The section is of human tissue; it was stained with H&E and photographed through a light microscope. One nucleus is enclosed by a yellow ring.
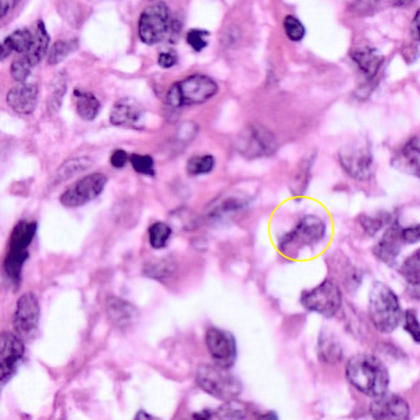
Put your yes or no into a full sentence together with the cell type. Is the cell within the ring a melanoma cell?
Yes, the cell within the ring is properly called a melanoma cell in this section.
